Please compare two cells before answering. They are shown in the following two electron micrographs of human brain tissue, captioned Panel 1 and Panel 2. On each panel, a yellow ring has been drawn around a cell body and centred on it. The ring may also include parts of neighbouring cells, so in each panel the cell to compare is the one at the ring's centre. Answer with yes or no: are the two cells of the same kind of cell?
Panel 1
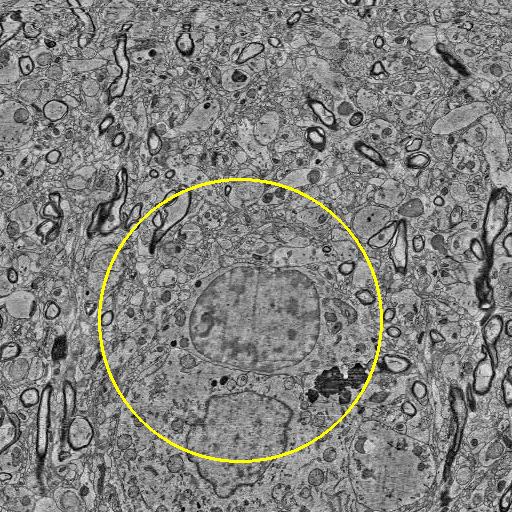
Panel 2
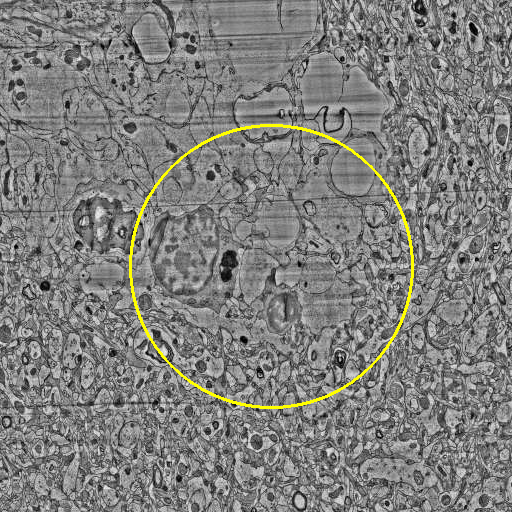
yes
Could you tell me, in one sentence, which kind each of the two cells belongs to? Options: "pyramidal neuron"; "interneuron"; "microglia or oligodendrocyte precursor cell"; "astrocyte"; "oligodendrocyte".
Both the first and the second picture show an oligodendrocyte in the ring.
